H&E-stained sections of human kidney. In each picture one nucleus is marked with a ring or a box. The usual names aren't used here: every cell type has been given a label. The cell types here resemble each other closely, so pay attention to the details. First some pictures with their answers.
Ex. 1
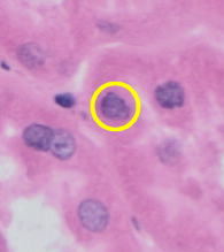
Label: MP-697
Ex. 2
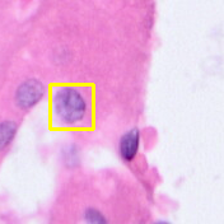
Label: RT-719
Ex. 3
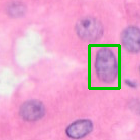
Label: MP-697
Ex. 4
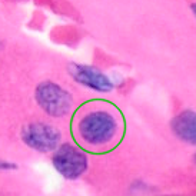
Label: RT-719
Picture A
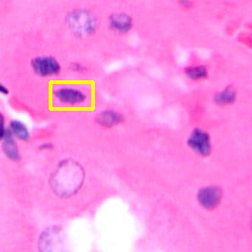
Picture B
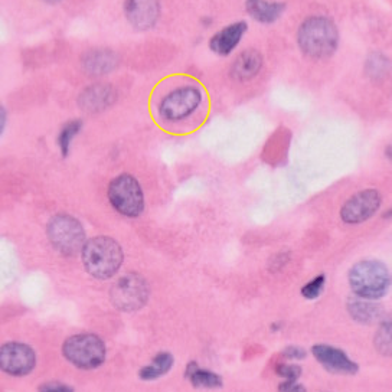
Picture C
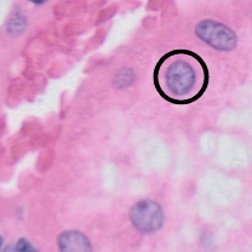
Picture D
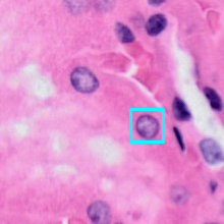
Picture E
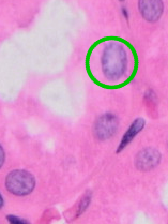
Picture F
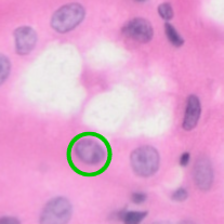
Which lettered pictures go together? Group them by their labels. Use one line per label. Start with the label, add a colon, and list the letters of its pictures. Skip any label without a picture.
MP-697: B, C, D, E, F
RT-719: A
